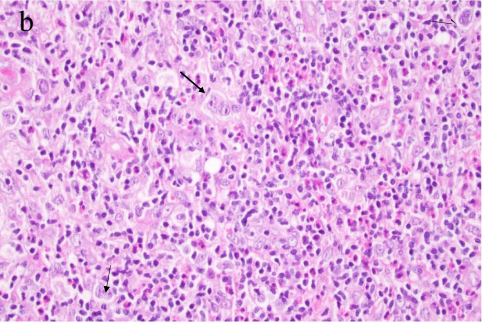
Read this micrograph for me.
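A densely cellular, mixed infiltrate of inflammatory cells with scattered large atypical cells. Most cells are small, with round, dark purple nuclei and little cytoplasm, packed closely together. Among them lie scattered much larger cells with pale, abundant pink cytoplasm and large nuclei; the arrows point to such cells. Some cells show bright pink cytoplasm, in keeping with granulocytes, and others have eccentric nuclei with more cytoplasm. The cells are arranged without any orderly pattern, and the whole field is filled by this varied population, with only a few small clear spaces.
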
